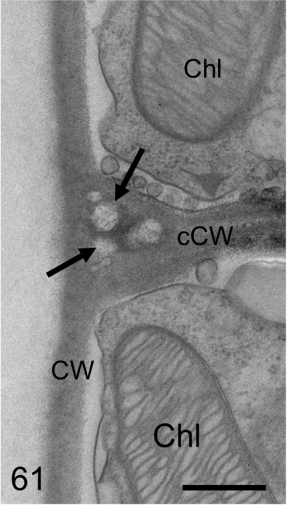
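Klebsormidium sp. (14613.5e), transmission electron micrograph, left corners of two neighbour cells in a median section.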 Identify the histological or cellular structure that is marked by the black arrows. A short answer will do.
triangular spaces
